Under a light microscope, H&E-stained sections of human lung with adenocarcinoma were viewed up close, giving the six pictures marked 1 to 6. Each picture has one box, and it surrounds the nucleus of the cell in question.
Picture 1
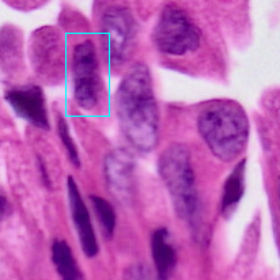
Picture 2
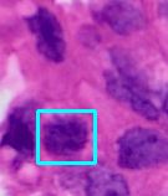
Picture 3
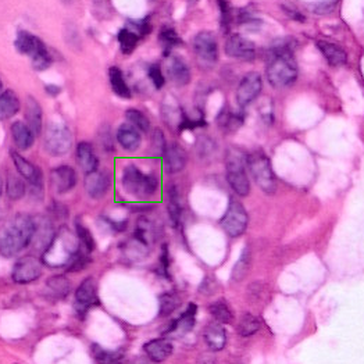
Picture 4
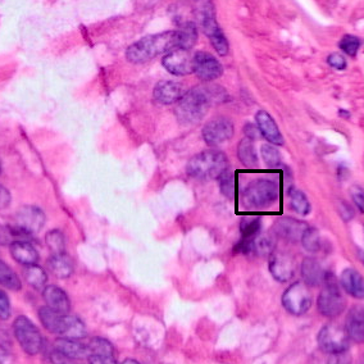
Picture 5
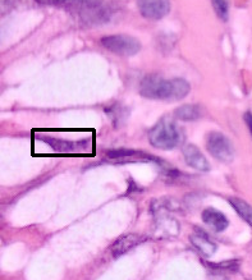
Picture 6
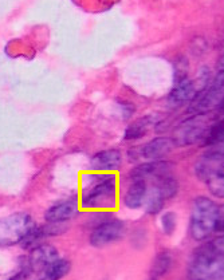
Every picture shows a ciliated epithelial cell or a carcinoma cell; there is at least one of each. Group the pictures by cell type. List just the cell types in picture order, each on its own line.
carcinoma cell
carcinoma cell
ciliated epithelial cell
ciliated epithelial cell
ciliated epithelial cell
ciliated epithelial cell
